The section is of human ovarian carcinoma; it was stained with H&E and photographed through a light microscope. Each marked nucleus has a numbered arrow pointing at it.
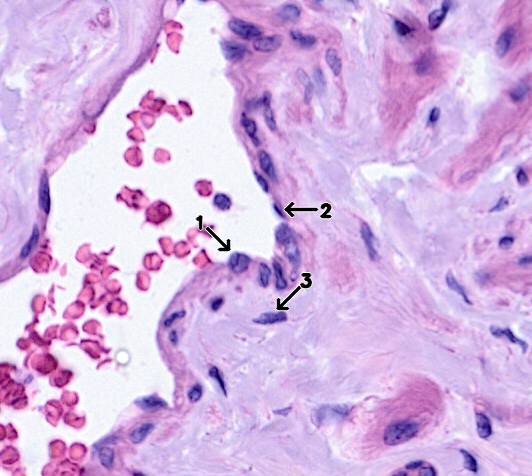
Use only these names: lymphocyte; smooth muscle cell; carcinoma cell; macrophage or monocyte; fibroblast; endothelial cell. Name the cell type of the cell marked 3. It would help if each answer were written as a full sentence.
The cell given label 3 is a fibroblast.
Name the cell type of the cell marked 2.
Numbered cell 2 is an endothelial cell in this tissue section.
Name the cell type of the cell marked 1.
Cell 1 of the marked set is an endothelial cell.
